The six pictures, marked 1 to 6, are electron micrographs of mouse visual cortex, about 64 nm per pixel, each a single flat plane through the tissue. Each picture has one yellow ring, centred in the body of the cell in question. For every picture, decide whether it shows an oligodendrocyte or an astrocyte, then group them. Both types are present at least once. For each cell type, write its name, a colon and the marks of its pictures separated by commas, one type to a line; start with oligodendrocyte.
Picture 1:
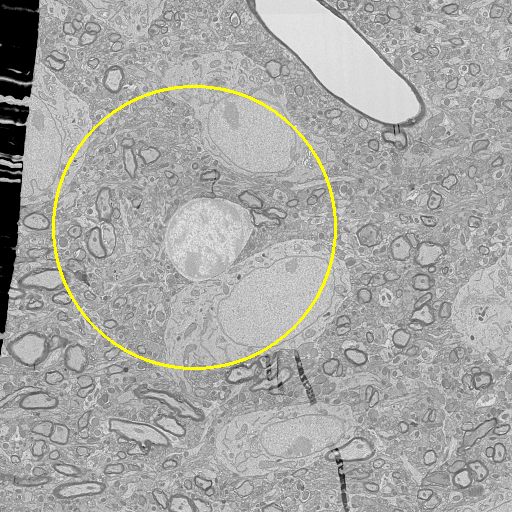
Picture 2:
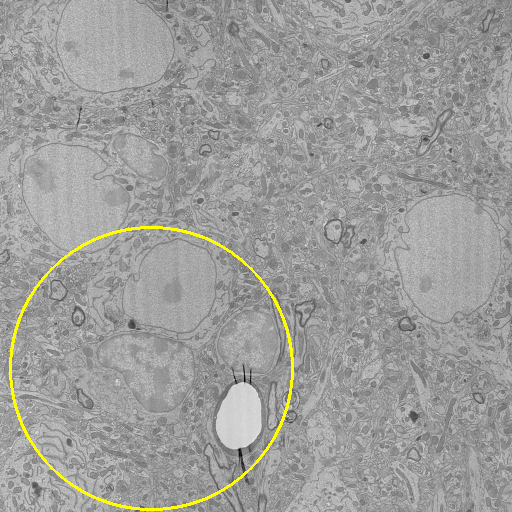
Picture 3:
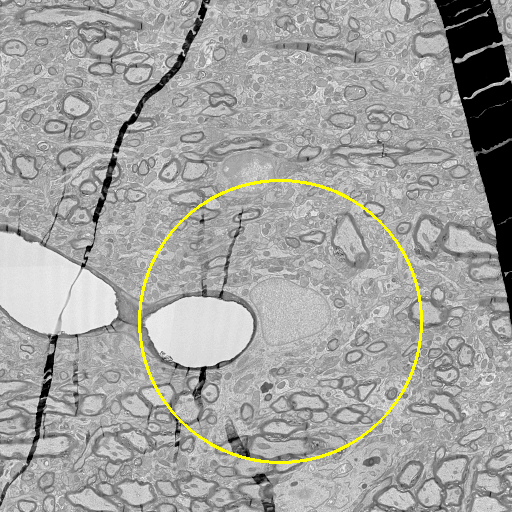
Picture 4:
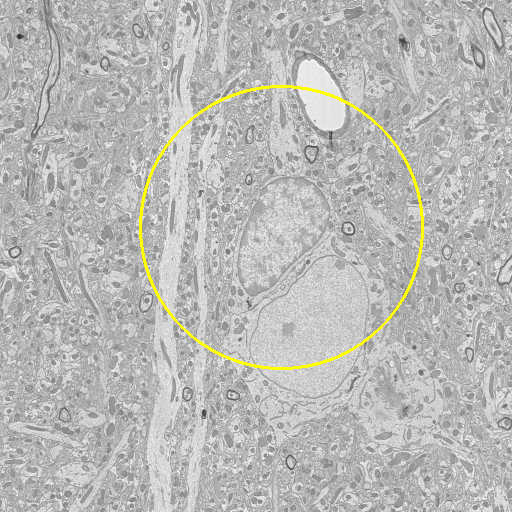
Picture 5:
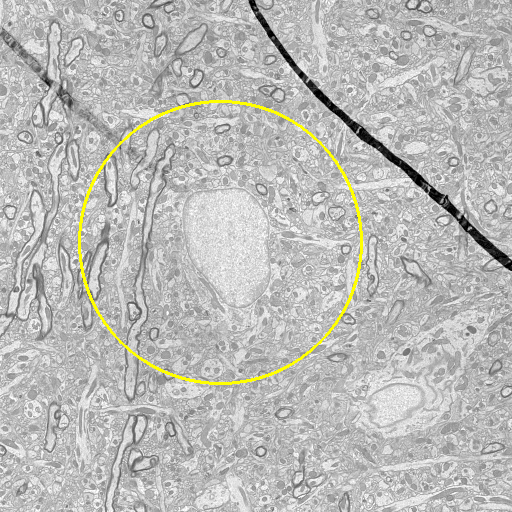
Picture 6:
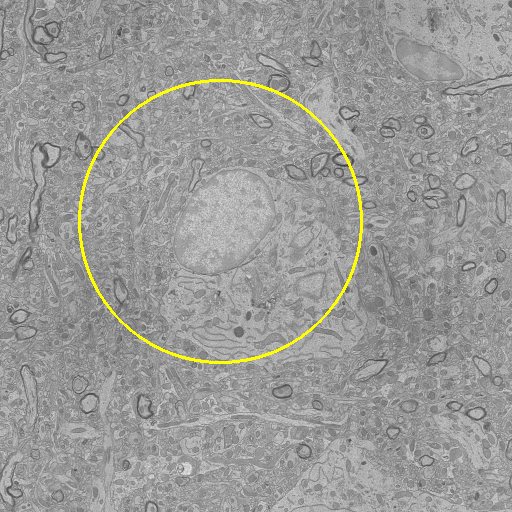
oligodendrocyte: 1, 2, 4, 6
astrocyte: 3, 5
